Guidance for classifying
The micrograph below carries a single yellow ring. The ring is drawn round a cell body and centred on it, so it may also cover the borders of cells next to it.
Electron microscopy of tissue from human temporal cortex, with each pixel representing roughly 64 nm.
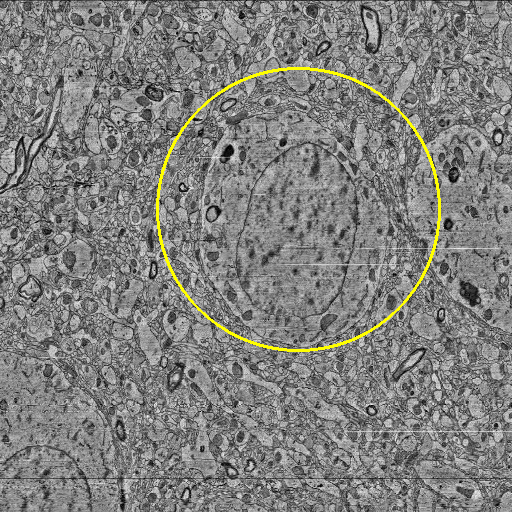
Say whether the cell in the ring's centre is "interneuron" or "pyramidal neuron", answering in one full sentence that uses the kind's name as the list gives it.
Within the yellow ring, a pyramidal neuron is the cell whose body sits at the centre.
